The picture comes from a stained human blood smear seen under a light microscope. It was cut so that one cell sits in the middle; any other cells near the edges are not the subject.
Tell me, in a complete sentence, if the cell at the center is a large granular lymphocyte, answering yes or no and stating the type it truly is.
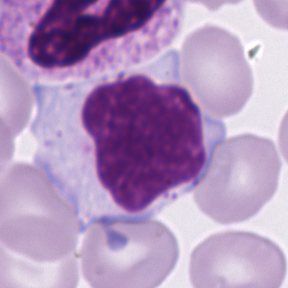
Yes, the cell at the center of the crop is a large granular lymphocyte.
